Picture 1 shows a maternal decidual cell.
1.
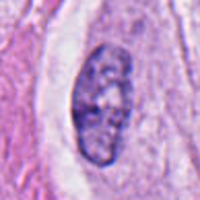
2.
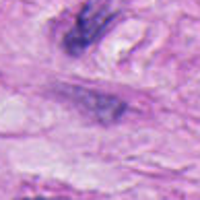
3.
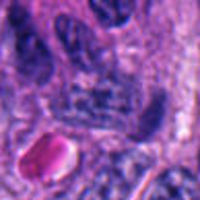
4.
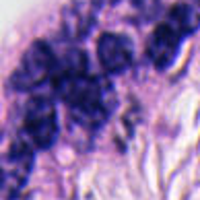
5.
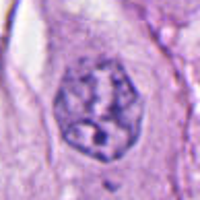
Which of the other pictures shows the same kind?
Picture 5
